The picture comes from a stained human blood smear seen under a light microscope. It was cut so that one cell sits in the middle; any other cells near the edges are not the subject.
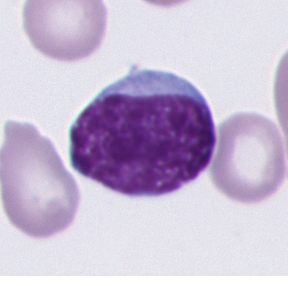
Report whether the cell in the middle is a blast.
yes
